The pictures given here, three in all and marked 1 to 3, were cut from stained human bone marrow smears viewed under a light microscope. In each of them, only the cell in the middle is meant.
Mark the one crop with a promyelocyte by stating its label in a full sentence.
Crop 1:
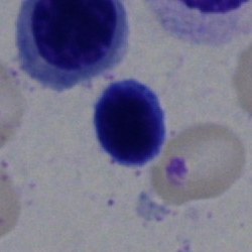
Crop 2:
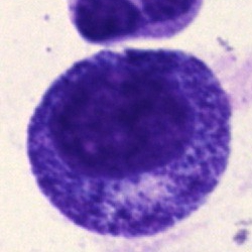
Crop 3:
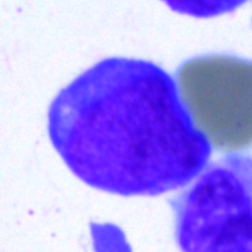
The one that shows a promyelocyte is crop 2.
